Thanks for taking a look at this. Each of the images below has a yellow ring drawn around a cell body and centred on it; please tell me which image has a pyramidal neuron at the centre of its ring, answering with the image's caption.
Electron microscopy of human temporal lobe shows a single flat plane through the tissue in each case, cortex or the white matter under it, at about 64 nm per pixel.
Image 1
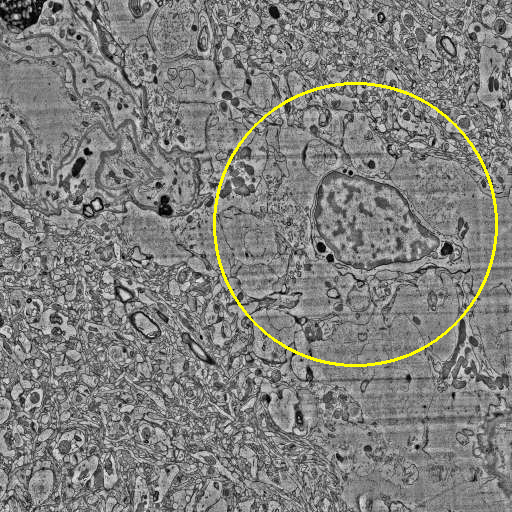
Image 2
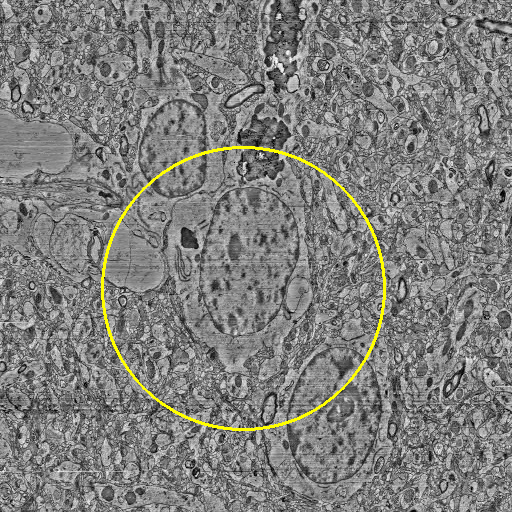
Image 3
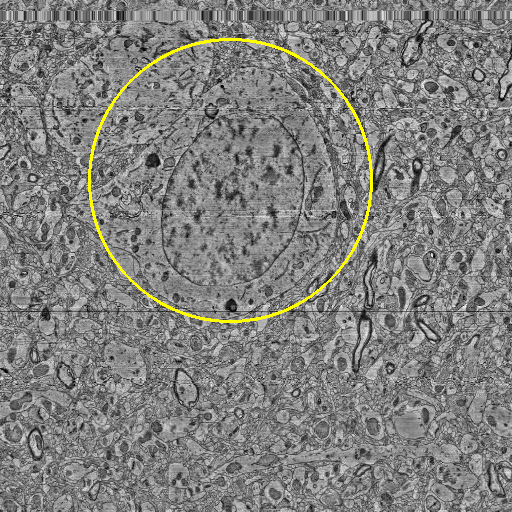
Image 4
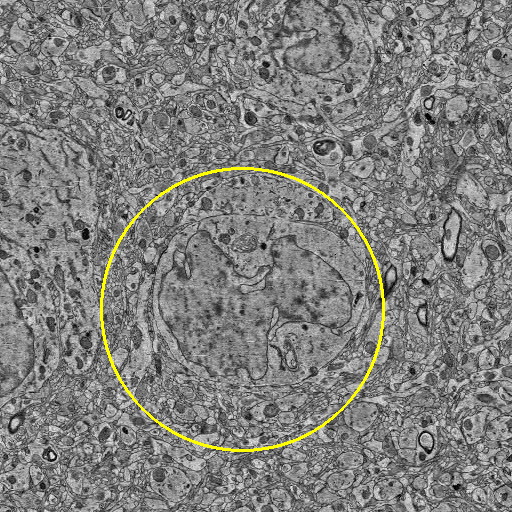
Image 3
